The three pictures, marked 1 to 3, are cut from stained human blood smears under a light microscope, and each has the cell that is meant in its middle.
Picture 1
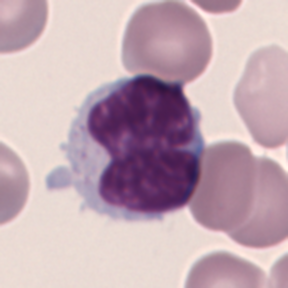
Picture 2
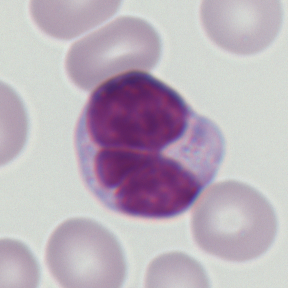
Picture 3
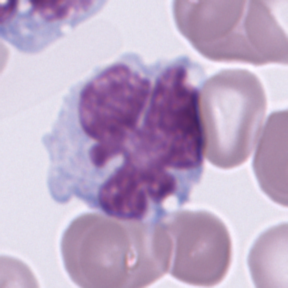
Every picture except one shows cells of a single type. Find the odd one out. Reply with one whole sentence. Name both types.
Picture 3 is the odd one out: it shows a monocyte, while the others show large granular lymphocytes.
